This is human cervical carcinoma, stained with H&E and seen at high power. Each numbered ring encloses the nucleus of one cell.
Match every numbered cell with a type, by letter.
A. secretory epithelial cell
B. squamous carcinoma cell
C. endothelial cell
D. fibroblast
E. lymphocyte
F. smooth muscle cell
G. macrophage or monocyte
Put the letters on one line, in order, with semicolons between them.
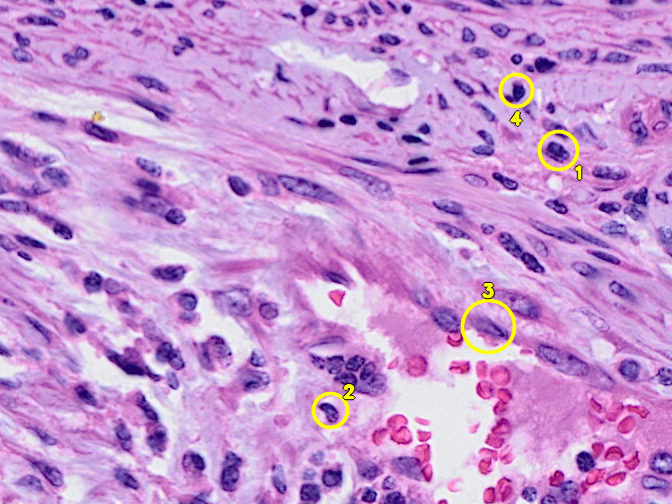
E; E; C; E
